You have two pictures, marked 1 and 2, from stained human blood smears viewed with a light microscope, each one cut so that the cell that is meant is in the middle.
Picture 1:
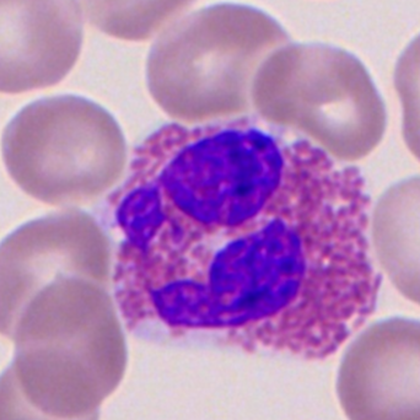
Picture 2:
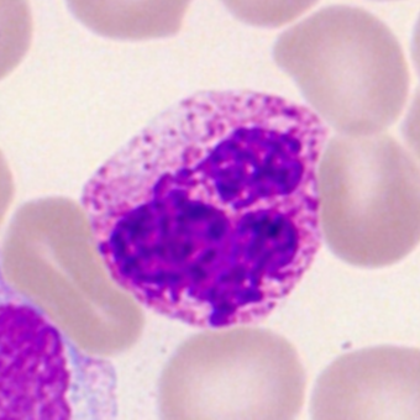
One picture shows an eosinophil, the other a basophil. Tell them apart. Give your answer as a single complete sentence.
The cell in picture 1 is an eosinophil, and the one in picture 2 is a basophil.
